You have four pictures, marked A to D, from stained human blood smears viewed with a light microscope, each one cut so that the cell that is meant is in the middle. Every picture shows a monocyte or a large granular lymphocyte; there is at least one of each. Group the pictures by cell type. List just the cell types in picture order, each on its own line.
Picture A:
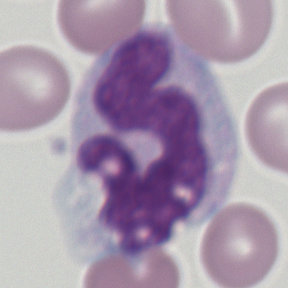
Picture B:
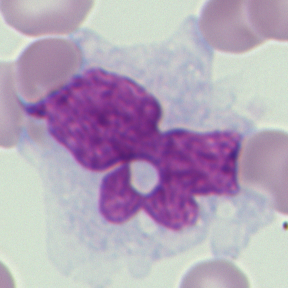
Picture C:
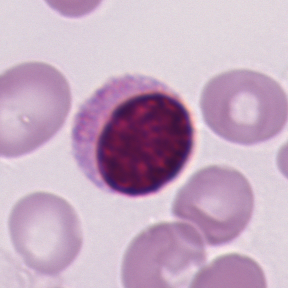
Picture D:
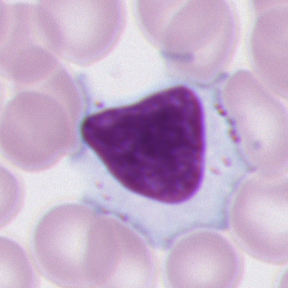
monocyte
monocyte
large granular lymphocyte
large granular lymphocyte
